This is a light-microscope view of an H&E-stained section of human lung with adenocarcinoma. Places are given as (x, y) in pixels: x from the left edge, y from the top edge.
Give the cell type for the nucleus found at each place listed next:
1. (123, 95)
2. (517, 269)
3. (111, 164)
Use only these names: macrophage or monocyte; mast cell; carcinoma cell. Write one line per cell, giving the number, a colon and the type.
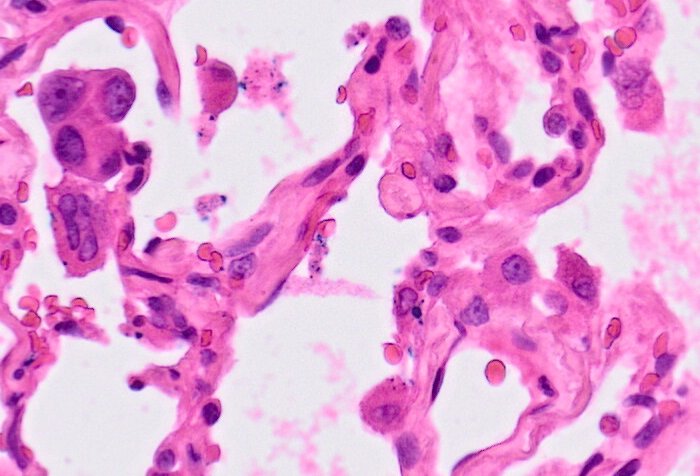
1: carcinoma cell
2: macrophage or monocyte
3: carcinoma cell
